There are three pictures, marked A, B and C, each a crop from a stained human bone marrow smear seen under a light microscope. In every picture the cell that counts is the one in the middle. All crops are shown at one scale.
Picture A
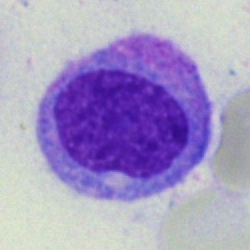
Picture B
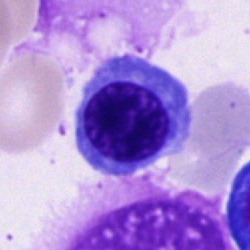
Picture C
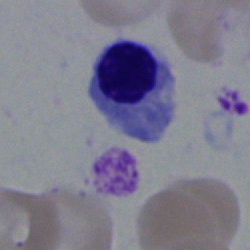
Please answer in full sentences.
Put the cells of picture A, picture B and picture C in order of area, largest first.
Going down, they run A, B, C.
